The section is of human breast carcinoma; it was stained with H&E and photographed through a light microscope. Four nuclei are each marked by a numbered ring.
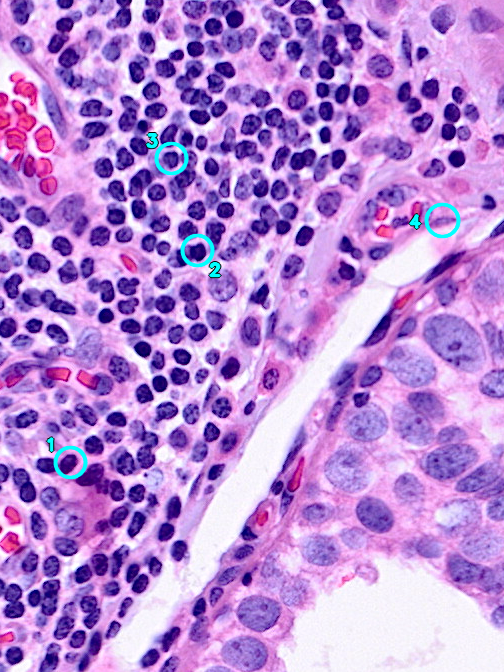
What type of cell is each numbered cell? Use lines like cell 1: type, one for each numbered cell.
cell 1: lymphocyte
cell 2: lymphocyte
cell 3: lymphocyte
cell 4: endothelial cell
